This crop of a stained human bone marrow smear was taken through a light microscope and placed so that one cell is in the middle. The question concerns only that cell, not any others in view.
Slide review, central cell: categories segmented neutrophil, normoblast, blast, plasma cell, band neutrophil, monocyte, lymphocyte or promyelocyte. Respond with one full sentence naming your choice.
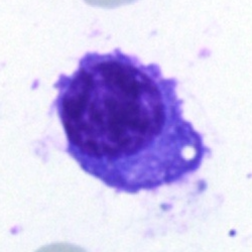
The middle position in this crop is taken by a plasma cell.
